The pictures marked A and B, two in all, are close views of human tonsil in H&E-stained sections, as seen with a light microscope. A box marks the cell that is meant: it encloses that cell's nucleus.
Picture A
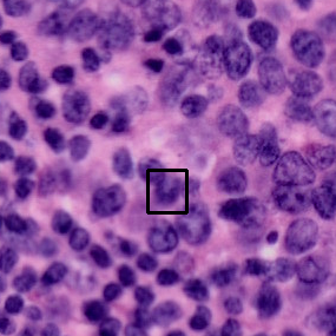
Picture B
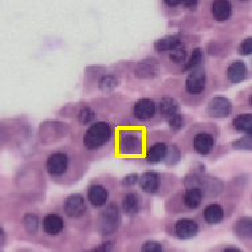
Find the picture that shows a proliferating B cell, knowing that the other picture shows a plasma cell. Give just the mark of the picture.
A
